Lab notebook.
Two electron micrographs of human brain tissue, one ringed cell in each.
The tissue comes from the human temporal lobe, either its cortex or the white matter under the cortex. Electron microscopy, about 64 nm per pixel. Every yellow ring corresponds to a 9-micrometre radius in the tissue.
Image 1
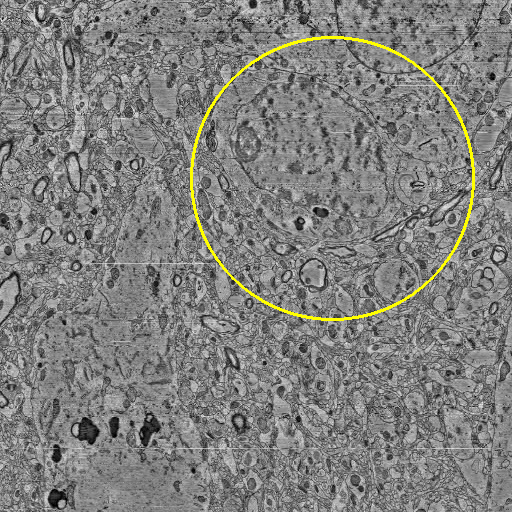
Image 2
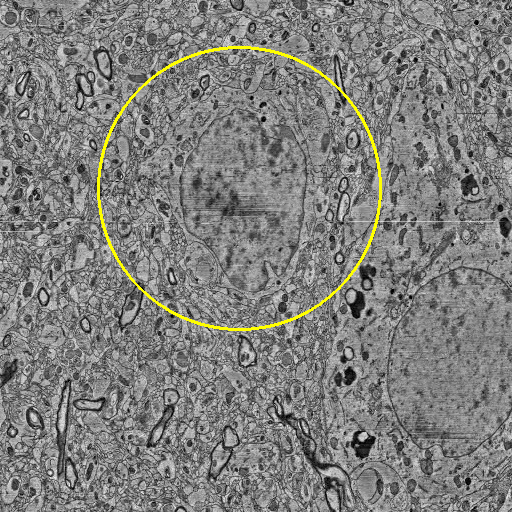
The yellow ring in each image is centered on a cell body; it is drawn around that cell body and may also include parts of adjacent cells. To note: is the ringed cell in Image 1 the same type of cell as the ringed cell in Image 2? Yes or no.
yes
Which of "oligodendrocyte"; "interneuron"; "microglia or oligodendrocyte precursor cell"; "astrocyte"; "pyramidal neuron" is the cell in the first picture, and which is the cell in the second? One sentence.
The second cell is an interneuron, just as the first is.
